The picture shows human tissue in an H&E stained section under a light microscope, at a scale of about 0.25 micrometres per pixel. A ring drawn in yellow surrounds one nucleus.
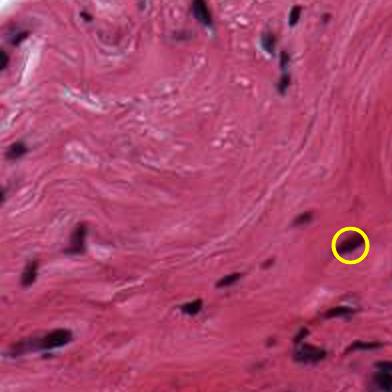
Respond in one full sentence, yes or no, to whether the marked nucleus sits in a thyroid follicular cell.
No, the cell bearing the marked nucleus is not a thyroid follicular cell but a supporting cell.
